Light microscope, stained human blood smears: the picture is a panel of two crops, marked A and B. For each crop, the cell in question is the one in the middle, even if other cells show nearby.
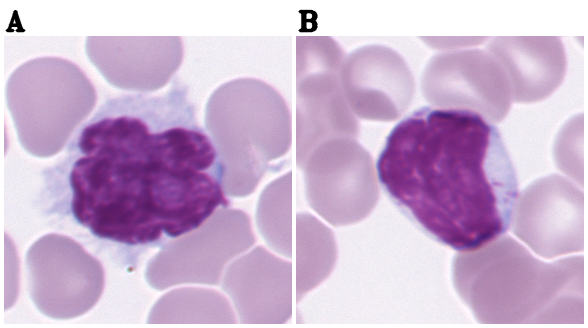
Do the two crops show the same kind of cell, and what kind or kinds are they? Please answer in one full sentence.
No, look again: crop A shows a hairy cell, and crop B shows a large granular lymphocyte.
